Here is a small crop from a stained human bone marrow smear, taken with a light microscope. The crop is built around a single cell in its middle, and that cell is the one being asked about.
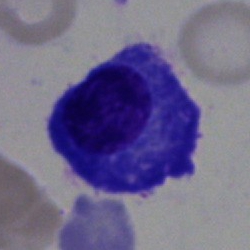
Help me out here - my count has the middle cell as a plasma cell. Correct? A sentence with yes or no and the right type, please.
Yes, in the centre of this field sits a plasma cell.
